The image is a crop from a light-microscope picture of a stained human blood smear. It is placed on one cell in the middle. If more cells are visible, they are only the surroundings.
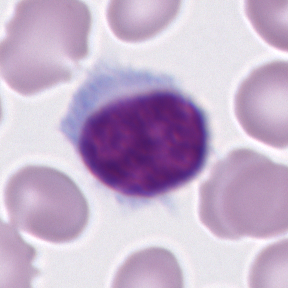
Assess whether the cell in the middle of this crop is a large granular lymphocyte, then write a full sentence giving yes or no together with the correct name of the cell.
No, the central cell is classed as a hairy cell, not a large granular lymphocyte.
